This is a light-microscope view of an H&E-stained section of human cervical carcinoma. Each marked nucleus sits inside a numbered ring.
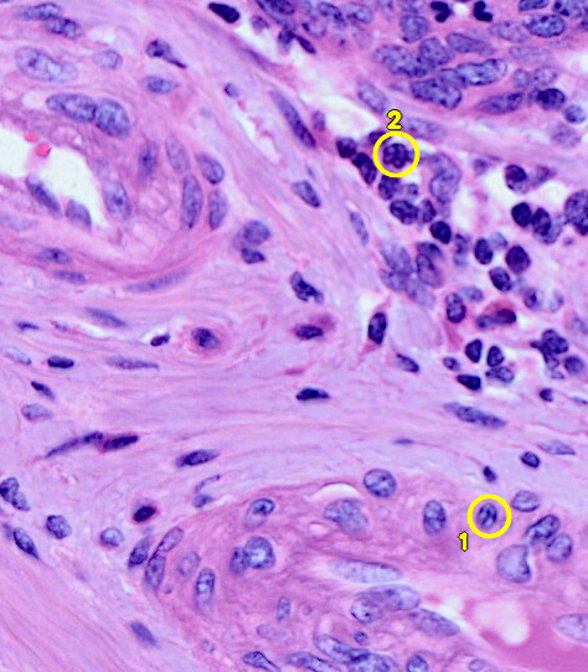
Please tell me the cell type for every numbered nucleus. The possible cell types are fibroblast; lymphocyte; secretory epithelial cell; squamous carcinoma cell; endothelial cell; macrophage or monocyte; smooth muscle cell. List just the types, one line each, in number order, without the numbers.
smooth muscle cell
lymphocyte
